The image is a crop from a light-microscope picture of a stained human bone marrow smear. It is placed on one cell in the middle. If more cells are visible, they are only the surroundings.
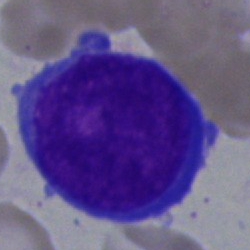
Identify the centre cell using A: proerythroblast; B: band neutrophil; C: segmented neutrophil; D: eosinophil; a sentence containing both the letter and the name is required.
The cell centered in the crop is a proerythroblast, making option A the correct pick.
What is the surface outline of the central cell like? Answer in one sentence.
As for its outline, the cell is irregular, ragged or drawn into projections.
